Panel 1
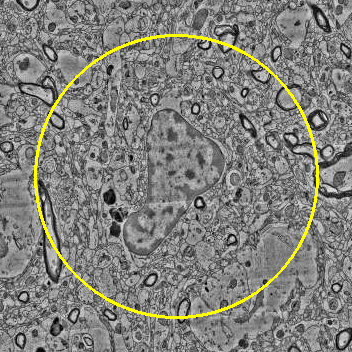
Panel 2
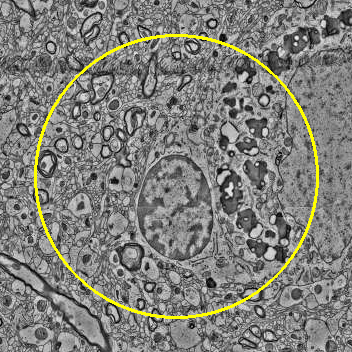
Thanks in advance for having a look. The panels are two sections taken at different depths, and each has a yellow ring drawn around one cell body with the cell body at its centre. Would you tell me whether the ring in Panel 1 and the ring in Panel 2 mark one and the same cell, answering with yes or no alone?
no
